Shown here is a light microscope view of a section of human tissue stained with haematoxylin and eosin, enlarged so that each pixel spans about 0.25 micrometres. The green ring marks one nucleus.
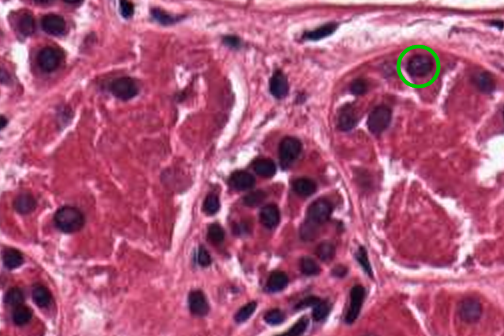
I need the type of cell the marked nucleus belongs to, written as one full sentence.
It is to a proximal tubule cell that the marked nucleus belongs.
